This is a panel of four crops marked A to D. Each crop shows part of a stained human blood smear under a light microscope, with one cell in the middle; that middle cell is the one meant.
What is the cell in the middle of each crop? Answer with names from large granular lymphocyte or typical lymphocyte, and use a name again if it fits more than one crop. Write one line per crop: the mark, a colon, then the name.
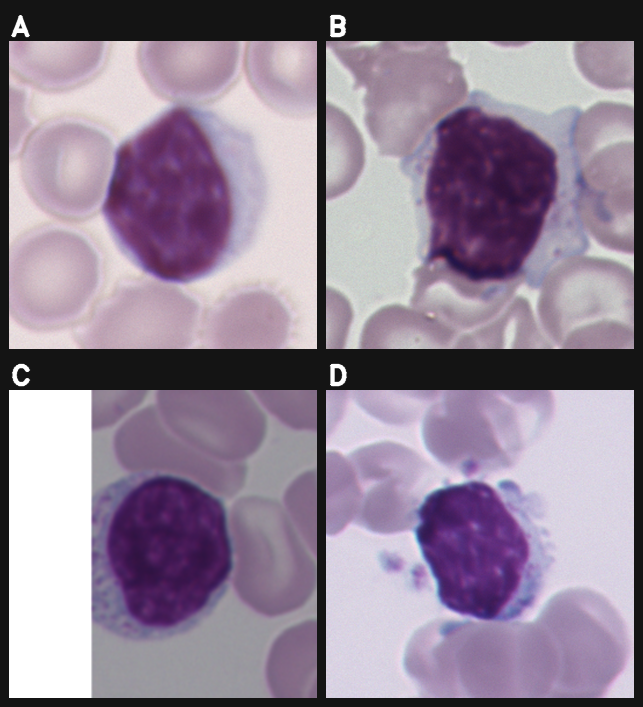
A: typical lymphocyte
B: large granular lymphocyte
C: large granular lymphocyte
D: typical lymphocyte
